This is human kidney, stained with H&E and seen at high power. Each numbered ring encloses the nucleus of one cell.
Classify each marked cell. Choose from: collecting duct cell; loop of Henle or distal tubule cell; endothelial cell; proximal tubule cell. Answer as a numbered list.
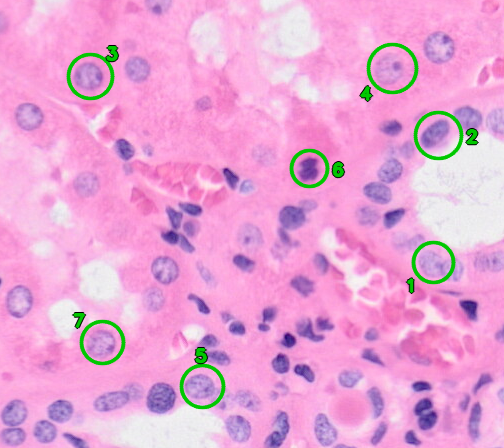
1. collecting duct cell
2. collecting duct cell
3. proximal tubule cell
4. proximal tubule cell
5. collecting duct cell
6. proximal tubule cell
7. proximal tubule cell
